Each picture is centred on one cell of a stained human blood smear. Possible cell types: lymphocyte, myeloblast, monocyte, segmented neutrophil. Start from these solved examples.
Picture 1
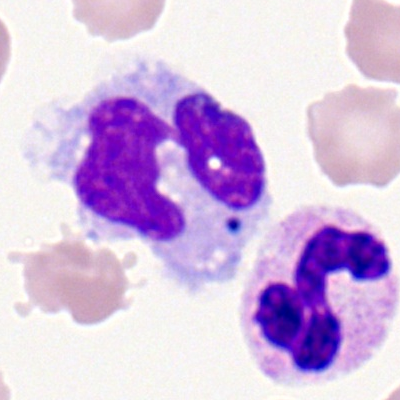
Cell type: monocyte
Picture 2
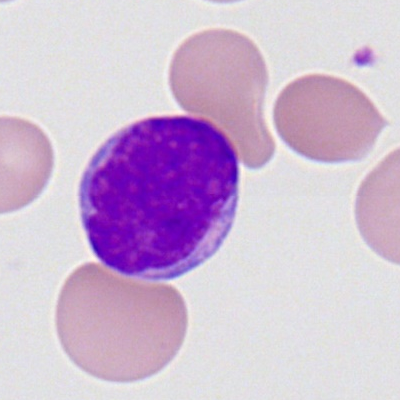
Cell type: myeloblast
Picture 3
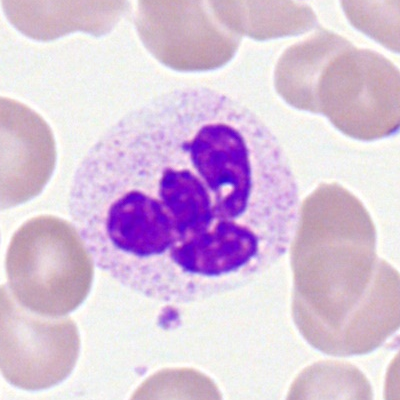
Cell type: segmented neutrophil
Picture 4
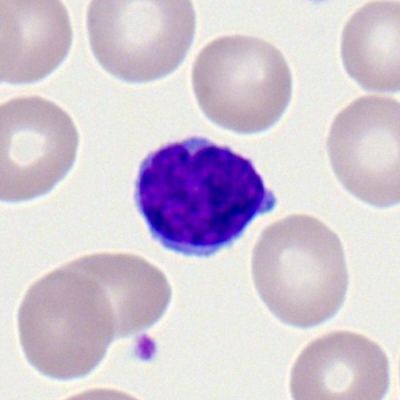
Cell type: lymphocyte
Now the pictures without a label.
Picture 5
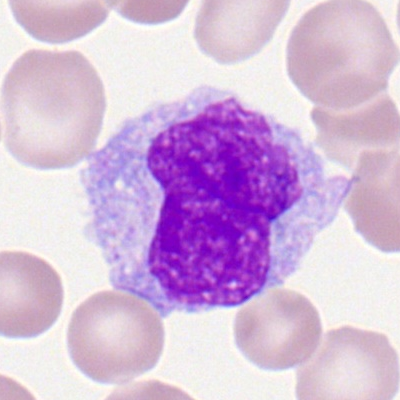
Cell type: monocyte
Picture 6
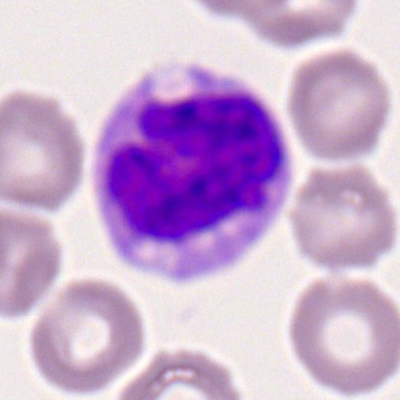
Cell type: monocyte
